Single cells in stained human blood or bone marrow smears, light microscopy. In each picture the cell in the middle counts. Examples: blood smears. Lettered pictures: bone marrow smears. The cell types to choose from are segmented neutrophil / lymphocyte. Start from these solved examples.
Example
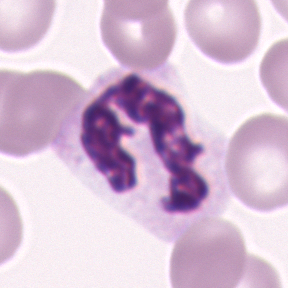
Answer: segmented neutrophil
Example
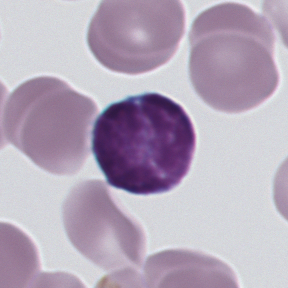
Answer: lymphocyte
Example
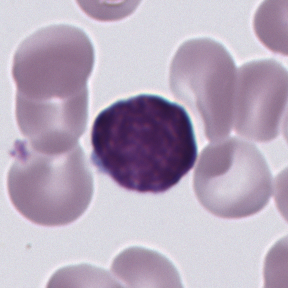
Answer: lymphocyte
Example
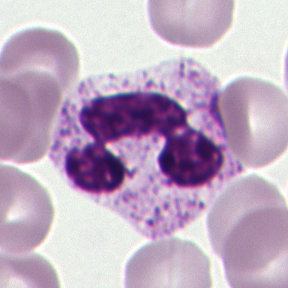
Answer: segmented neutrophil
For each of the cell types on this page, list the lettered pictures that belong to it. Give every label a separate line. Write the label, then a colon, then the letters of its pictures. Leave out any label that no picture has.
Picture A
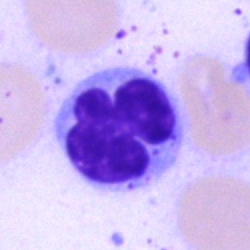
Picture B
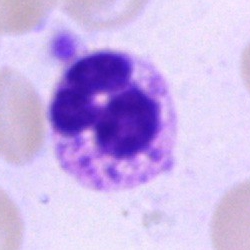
segmented neutrophil: B
lymphocyte: A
